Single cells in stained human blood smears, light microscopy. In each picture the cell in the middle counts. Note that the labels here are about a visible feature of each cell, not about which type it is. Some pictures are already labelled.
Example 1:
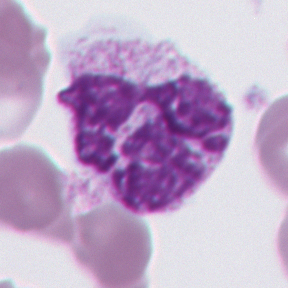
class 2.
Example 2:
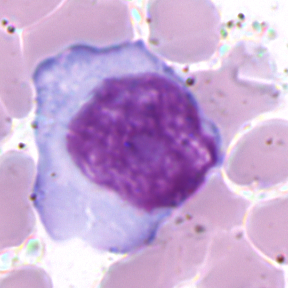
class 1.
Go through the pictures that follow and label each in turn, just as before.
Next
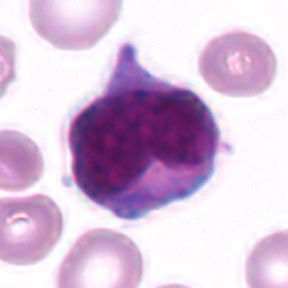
class 2.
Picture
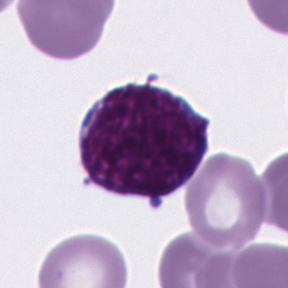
class 2.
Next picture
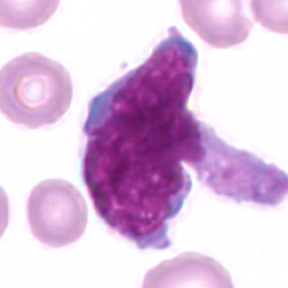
class 2.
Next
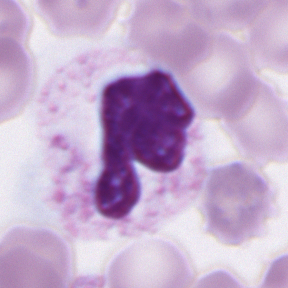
class 1.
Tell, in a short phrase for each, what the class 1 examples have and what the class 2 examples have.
class 1: abundant cytoplasm; class 2: scant cytoplasm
